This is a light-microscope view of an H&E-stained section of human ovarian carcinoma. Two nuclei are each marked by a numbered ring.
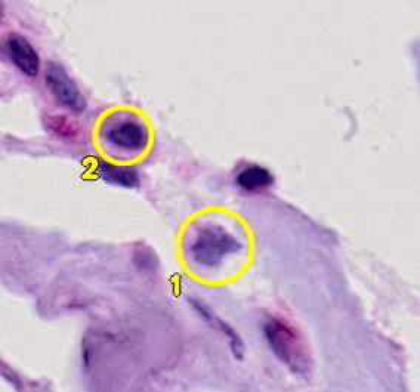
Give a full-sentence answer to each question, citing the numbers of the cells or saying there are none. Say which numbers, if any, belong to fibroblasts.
Exactly one of the numbered cells is a fibroblast, namely cell 1.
